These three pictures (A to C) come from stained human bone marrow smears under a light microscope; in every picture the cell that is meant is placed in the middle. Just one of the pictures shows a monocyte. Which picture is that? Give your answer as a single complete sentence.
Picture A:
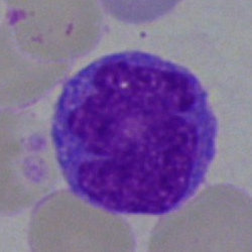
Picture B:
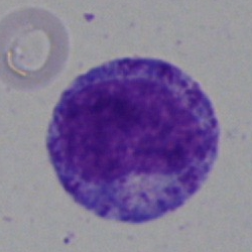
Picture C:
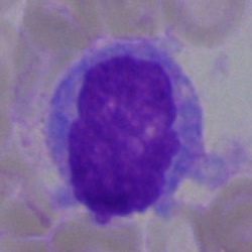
Picture A shows the monocyte.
